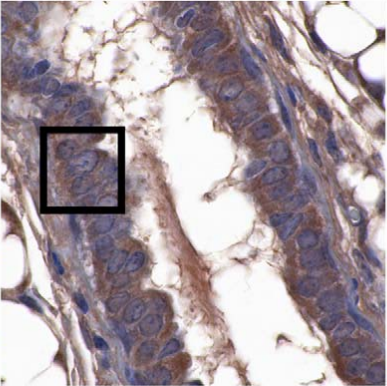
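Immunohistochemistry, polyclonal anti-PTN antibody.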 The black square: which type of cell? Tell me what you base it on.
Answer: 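Duct epithelial cells. The black square encloses closely packed cells lining a lumen. The cells have round to oval blue nuclei and brownish cytoplasm. The cells form a continuous row along the white lumen.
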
